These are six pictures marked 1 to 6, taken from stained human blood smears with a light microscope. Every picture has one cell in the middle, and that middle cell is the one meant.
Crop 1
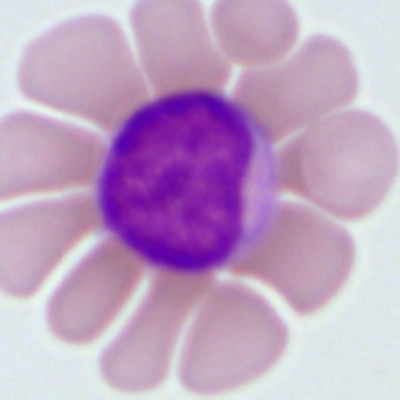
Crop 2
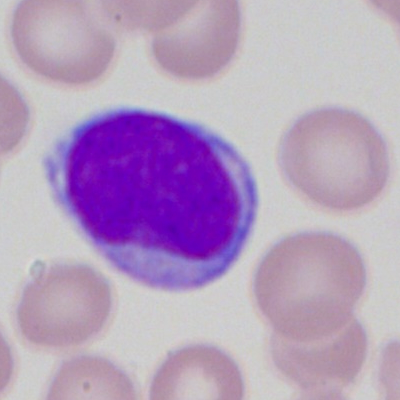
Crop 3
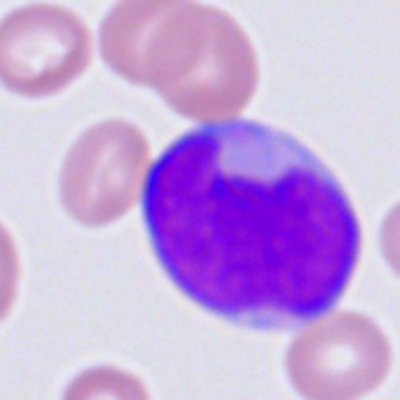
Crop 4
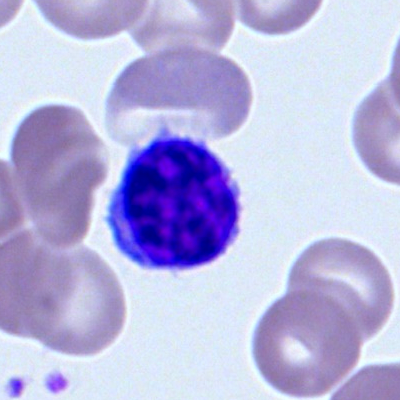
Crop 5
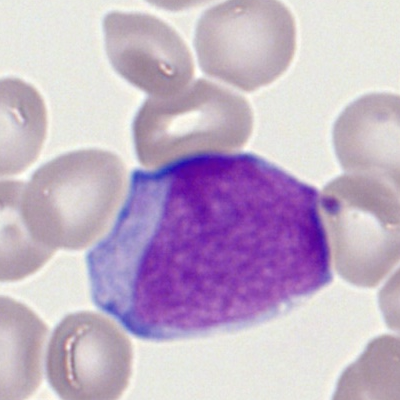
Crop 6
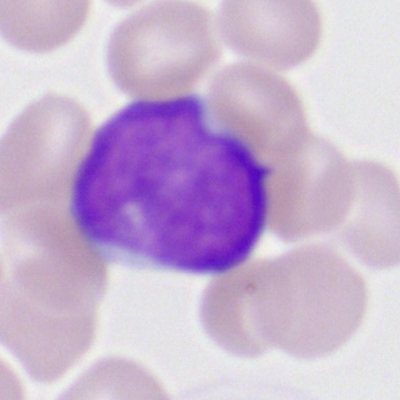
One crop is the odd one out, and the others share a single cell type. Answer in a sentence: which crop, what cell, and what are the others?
The exception is crop 4: it is a lymphocyte, and the others are all myeloblasts.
